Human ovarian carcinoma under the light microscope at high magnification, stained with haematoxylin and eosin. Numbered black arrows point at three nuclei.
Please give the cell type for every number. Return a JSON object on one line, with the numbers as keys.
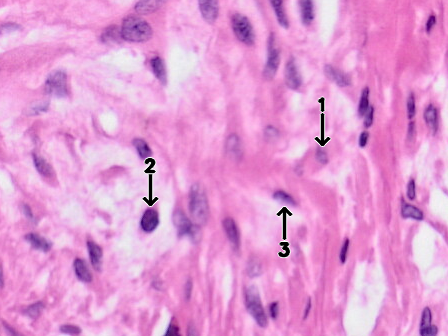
{"1": "fibroblast", "2": "macrophage or monocyte", "3": "fibroblast"}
